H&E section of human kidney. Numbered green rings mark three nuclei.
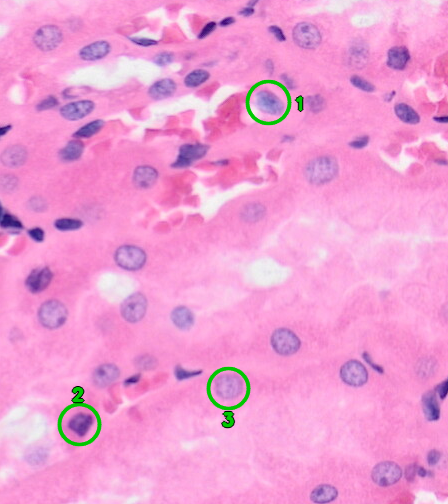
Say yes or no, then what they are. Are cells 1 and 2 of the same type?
No, the cell numbered 1 is an endothelial cell, and the cell numbered 2 is a proximal tubule cell.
